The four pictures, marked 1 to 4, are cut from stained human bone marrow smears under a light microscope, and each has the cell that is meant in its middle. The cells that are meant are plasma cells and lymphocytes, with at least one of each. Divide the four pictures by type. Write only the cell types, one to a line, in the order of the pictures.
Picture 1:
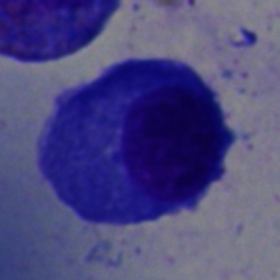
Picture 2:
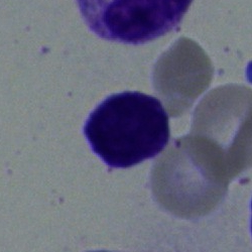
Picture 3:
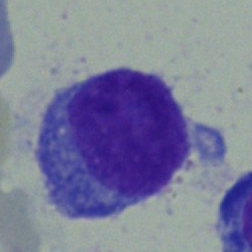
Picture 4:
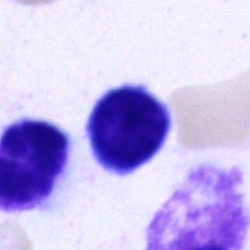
plasma cell
lymphocyte
plasma cell
lymphocyte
